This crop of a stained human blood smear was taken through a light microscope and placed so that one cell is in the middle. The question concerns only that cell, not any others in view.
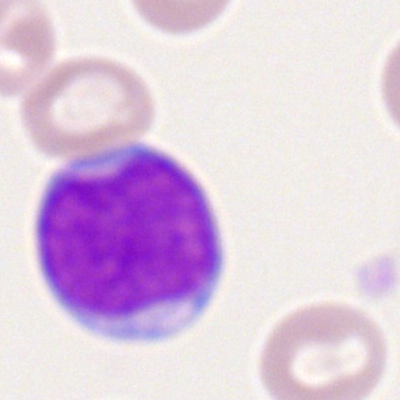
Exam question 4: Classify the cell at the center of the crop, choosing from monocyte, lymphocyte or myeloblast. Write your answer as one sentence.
The cell marked by its central position in the crop is a myeloblast.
